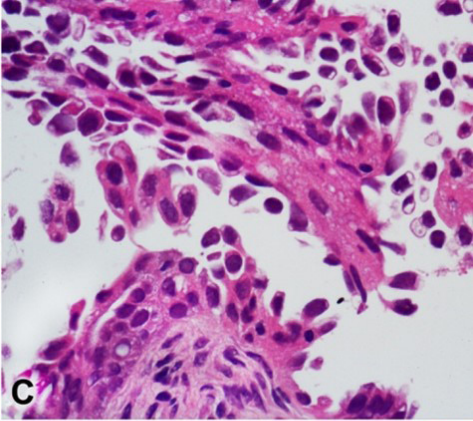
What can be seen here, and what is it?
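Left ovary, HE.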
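Clear cell carcinoma: tumour cells line papillae with pink fibrous stromal cores. Many cells have large, round, dark nuclei that bulge into the lumen in a hobnail fashion. Nuclei vary in size, and the cytoplasm is scant to moderate and pale pink. Some cells lie loose in the spaces between the papillae.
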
